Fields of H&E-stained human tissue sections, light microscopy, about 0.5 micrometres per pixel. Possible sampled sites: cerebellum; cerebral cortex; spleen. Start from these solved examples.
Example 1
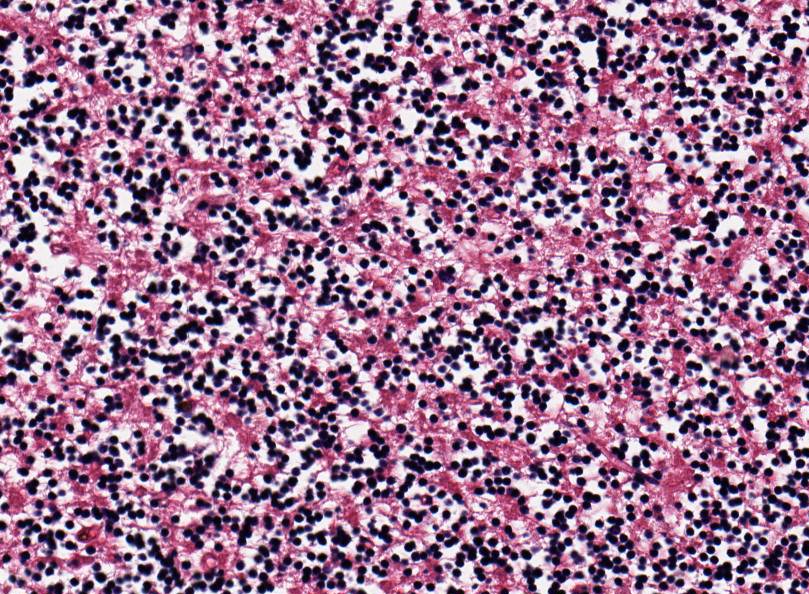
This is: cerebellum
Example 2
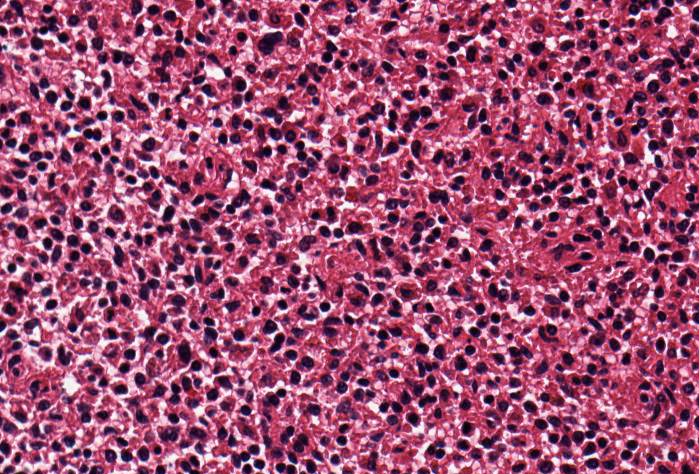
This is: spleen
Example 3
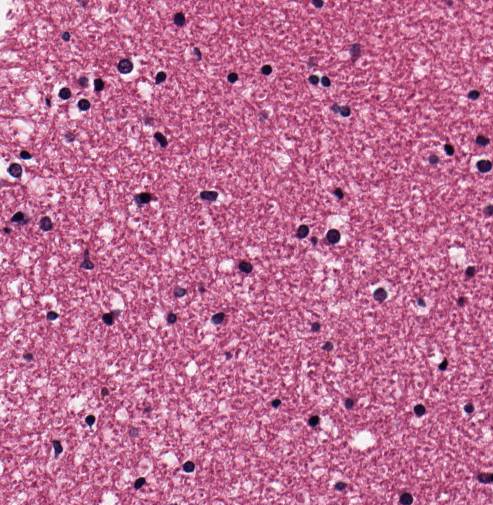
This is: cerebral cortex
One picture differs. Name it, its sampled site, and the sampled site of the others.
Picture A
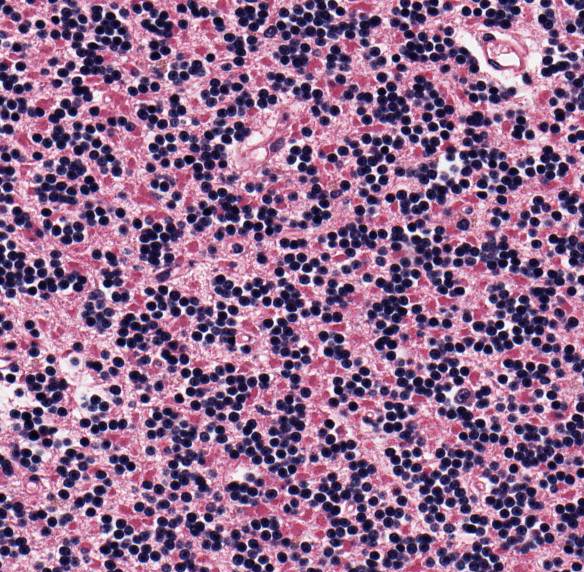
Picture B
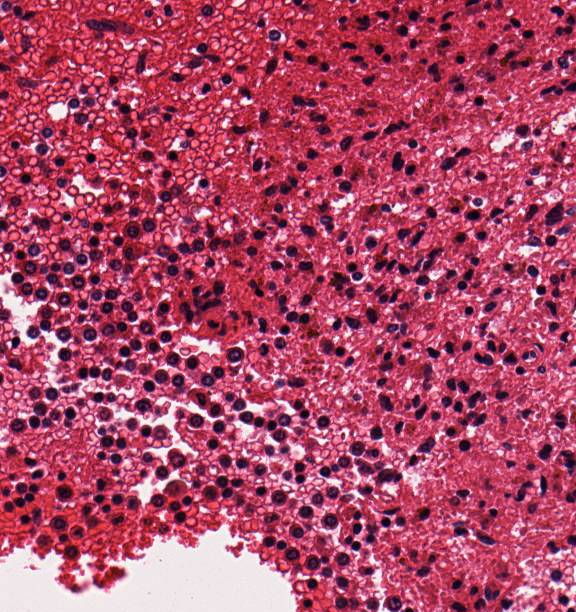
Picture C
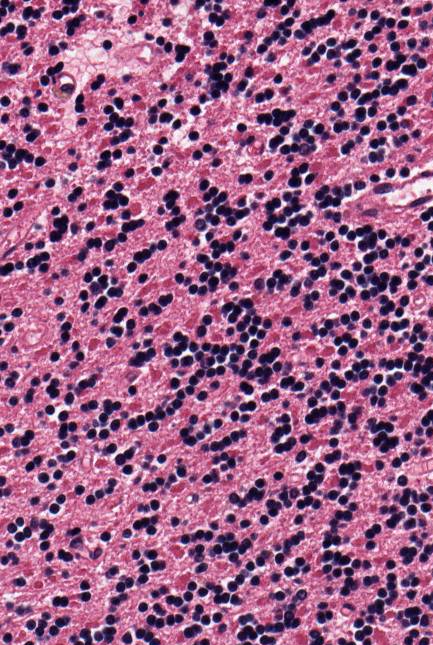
B: spleen; all the others: cerebellum.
